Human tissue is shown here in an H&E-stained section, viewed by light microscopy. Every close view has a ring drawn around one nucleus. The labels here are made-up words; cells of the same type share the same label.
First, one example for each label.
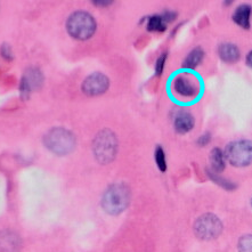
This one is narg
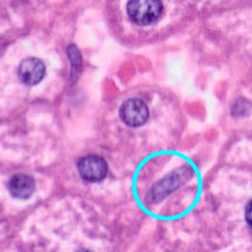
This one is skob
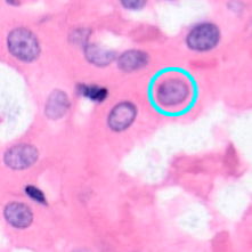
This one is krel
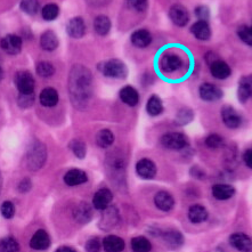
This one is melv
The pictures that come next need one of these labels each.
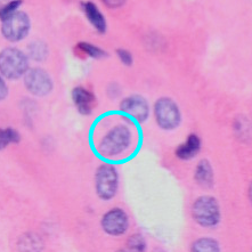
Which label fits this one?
narg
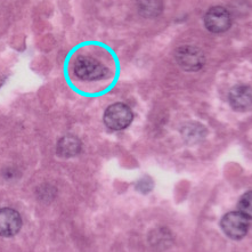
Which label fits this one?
skob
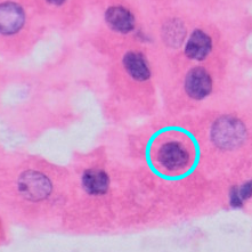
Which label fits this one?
krel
